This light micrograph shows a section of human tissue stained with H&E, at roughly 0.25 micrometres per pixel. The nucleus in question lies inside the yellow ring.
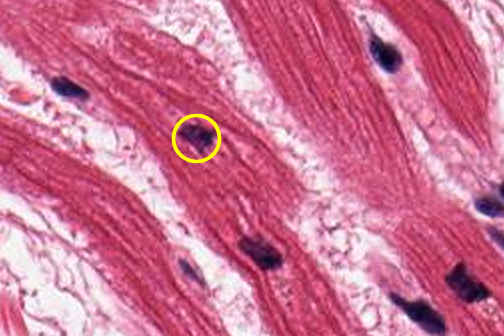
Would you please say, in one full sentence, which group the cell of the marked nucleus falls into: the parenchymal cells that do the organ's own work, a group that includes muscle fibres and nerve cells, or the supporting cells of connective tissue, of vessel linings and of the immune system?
In this field the marked nucleus is the nucleus of a cardiomyocyte, a parenchymal cell.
